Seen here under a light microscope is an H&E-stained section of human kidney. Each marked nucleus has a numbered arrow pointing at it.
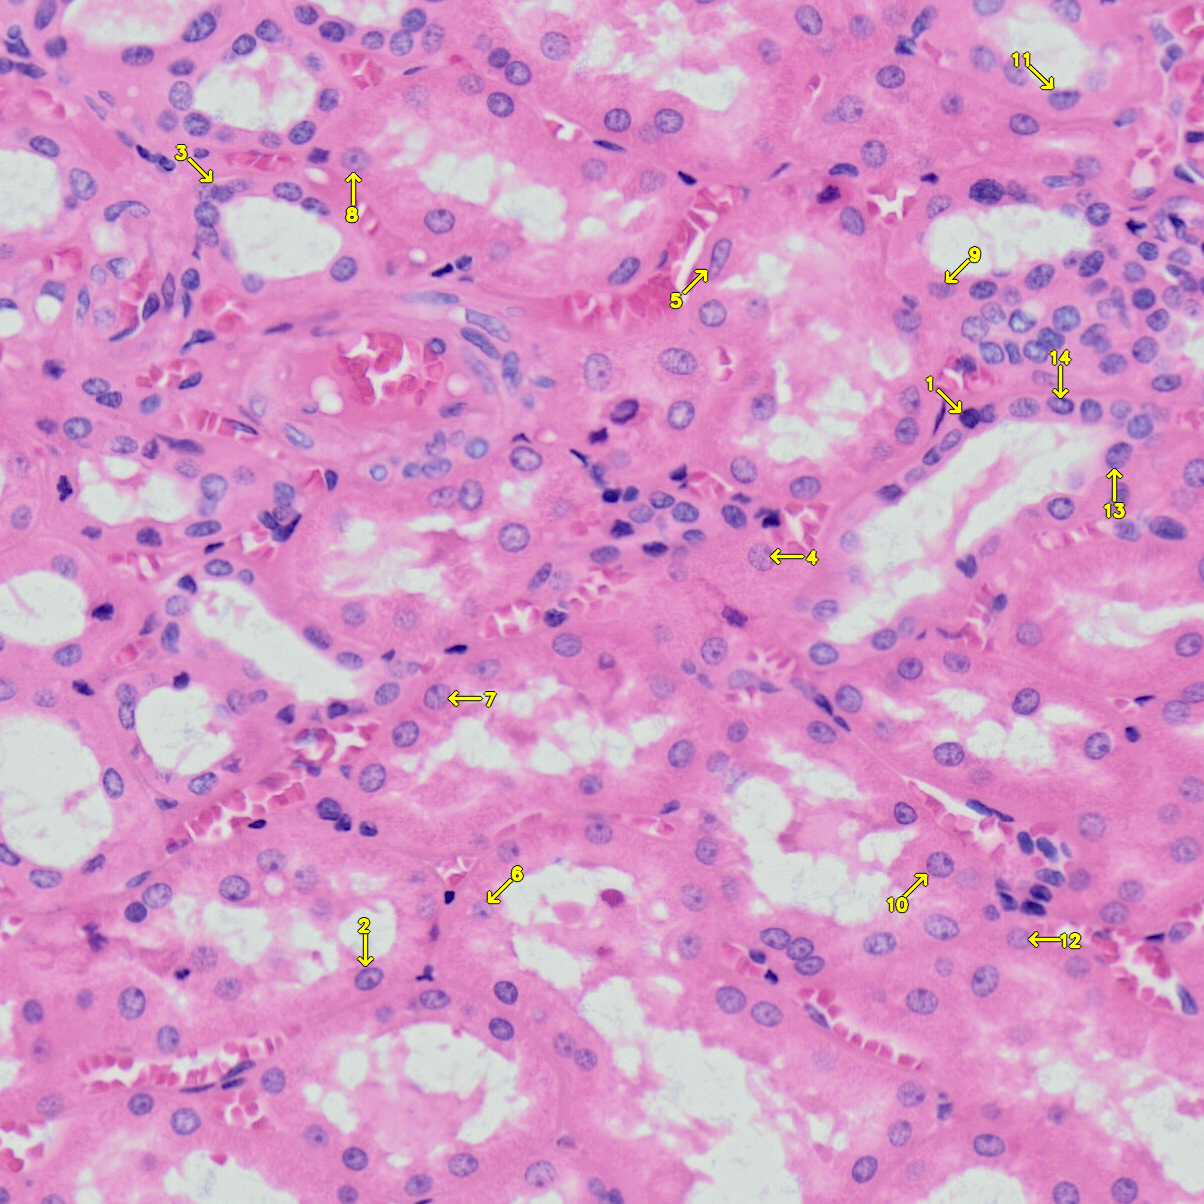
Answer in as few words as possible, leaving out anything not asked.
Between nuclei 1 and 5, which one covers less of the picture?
1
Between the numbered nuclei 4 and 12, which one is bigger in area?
4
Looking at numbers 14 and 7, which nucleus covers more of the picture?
7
